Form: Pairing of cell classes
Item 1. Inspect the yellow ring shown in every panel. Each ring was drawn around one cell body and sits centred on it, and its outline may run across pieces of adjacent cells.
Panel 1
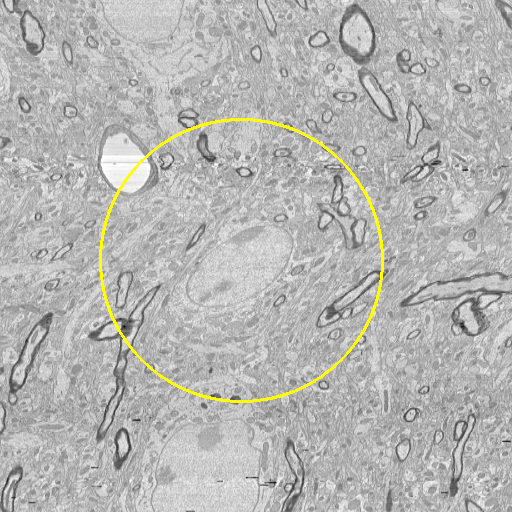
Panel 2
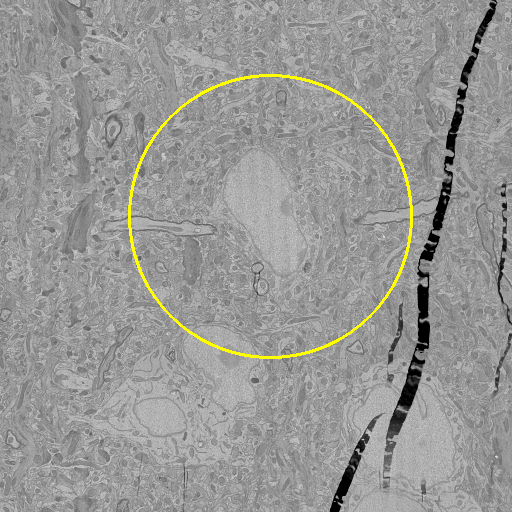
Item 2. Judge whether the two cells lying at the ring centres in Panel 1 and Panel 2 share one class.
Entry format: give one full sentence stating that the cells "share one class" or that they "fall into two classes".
The cells at the ring centres in Panel 1 and Panel 2 share one class.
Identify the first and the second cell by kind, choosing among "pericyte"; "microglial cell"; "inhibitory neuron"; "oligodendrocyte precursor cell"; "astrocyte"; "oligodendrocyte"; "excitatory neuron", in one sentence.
Both the first and the second picture show an astrocyte in the ring.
